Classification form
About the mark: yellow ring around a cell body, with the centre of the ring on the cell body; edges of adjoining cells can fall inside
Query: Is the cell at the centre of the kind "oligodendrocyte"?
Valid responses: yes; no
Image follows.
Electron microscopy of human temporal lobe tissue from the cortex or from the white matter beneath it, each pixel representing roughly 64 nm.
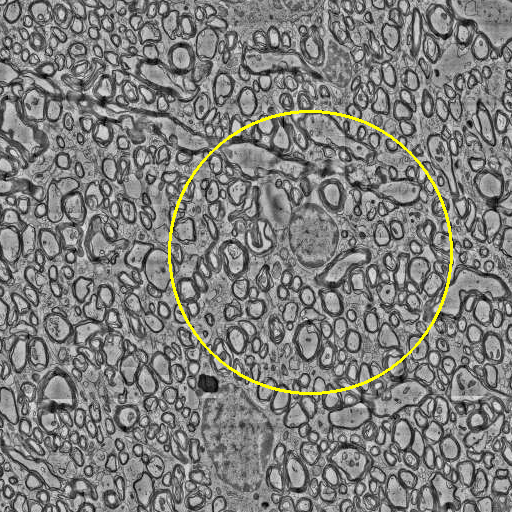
no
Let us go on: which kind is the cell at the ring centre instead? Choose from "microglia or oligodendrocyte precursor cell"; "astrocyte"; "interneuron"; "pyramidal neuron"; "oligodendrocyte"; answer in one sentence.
The ringed cell in this picture is, instead, a microglial cell or oligodendrocyte precursor cell.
